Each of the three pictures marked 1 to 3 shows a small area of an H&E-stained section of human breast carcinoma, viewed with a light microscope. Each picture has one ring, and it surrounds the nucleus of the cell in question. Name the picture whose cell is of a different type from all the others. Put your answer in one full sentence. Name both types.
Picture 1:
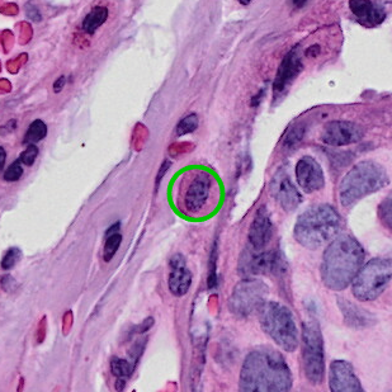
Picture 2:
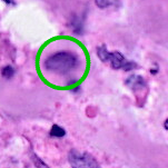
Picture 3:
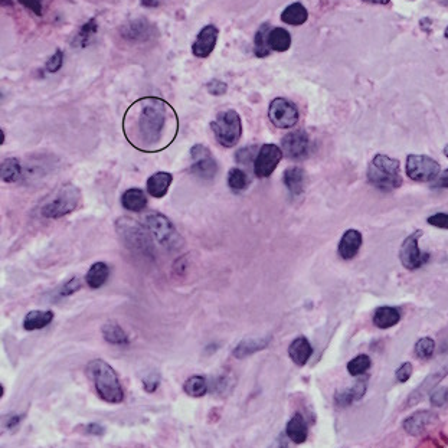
Unlike the rest, which show “macrophages, monocytes or dendritic cells”, picture 1 shows a mast cell.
